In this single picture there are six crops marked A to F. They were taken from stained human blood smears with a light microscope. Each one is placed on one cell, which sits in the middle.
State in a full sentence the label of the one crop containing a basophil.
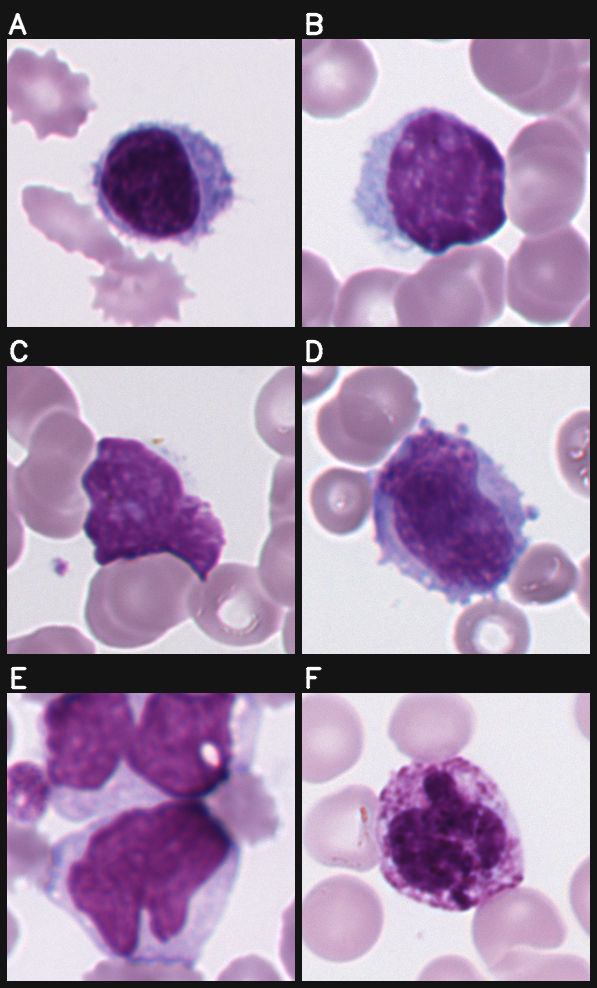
Among all the crops given here, the one with a basophil is crop F.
